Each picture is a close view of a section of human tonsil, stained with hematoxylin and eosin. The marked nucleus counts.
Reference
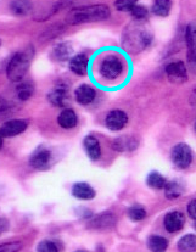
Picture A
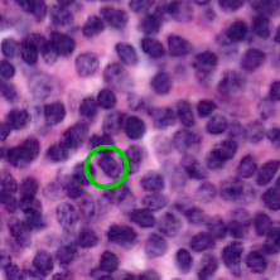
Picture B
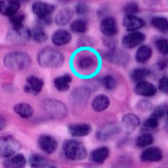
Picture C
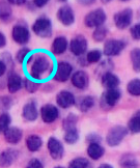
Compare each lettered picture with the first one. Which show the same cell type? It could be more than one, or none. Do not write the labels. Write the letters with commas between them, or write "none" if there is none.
none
